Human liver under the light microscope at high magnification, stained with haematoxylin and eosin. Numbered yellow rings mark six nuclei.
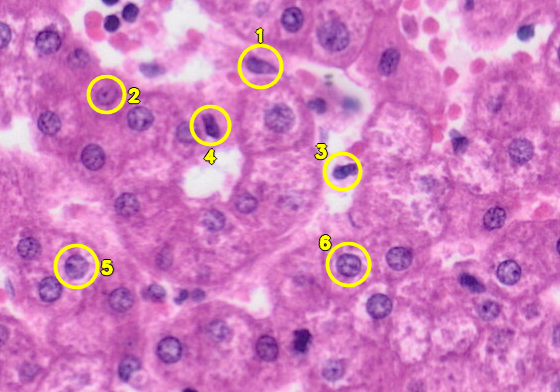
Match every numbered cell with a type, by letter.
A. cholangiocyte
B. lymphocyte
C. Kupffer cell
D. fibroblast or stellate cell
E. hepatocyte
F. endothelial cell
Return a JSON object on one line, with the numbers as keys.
{"1": "C", "2": "E", "3": "B", "4": "D", "5": "E", "6": "E"}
